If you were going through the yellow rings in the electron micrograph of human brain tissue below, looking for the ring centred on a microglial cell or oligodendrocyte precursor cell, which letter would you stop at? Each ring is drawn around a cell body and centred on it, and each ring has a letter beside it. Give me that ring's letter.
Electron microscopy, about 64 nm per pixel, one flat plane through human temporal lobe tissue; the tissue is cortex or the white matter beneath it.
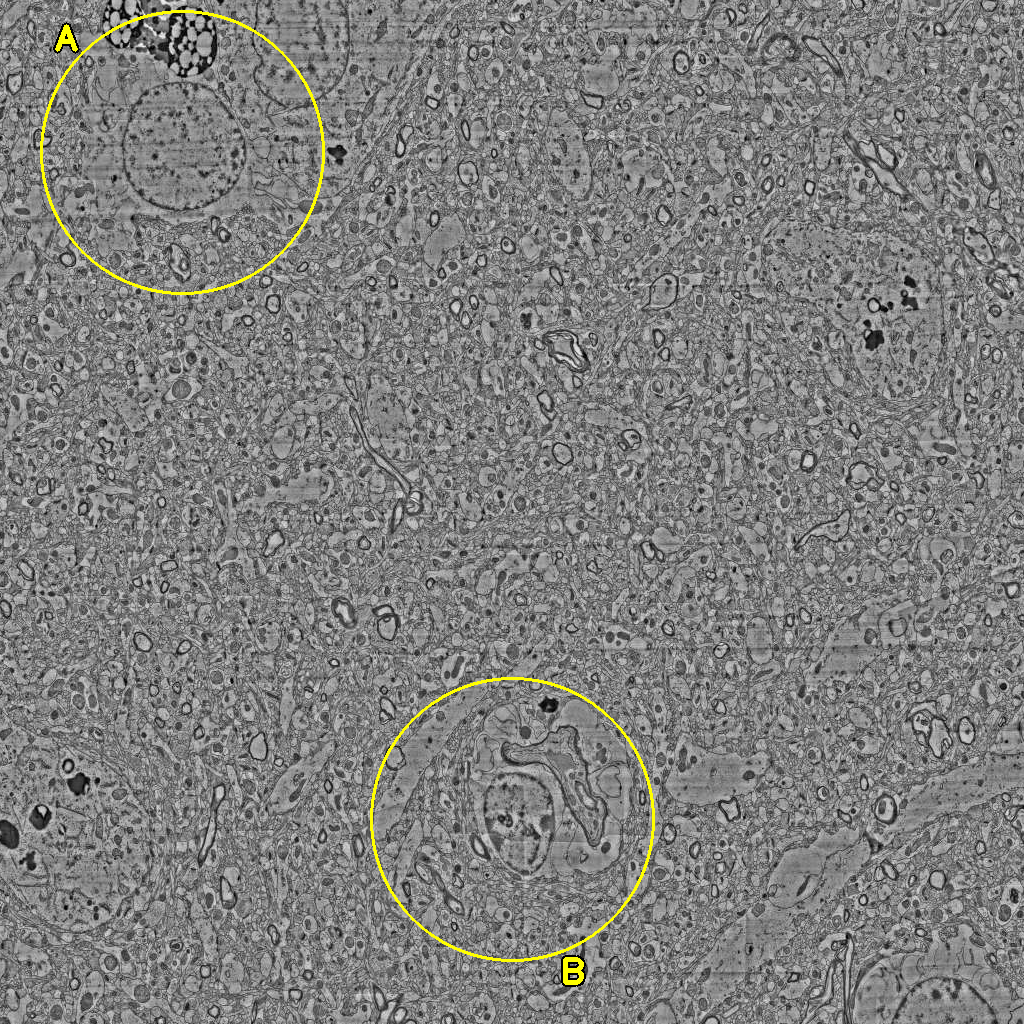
B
